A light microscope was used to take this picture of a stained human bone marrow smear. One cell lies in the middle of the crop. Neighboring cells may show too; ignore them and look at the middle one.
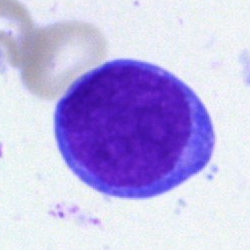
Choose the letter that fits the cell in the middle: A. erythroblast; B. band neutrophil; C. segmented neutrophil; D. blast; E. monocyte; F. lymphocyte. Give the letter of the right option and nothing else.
D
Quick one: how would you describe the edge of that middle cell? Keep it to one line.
The border of this cell runs smooth and free of any projections.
